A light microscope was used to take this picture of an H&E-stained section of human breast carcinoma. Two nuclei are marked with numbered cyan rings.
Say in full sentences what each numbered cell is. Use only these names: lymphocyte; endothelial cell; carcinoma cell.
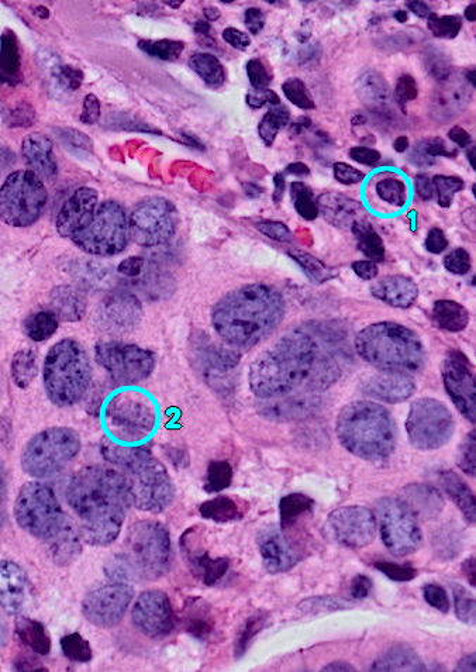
Cell 1 is a lymphocyte and cell 2 is a carcinoma cell.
